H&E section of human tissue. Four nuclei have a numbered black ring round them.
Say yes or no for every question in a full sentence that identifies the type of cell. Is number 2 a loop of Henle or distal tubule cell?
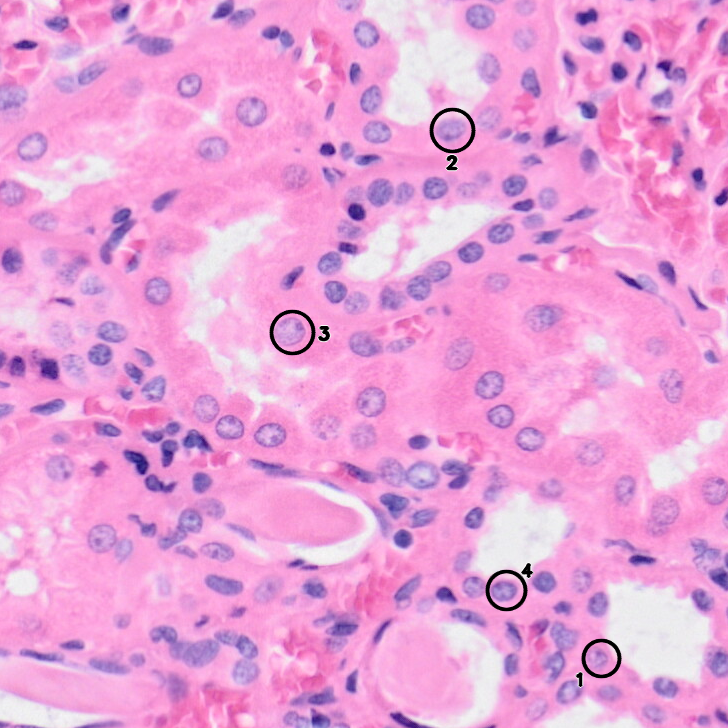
Yes, the cell with the mark numbered 2 is a loop of Henle or distal tubule cell.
